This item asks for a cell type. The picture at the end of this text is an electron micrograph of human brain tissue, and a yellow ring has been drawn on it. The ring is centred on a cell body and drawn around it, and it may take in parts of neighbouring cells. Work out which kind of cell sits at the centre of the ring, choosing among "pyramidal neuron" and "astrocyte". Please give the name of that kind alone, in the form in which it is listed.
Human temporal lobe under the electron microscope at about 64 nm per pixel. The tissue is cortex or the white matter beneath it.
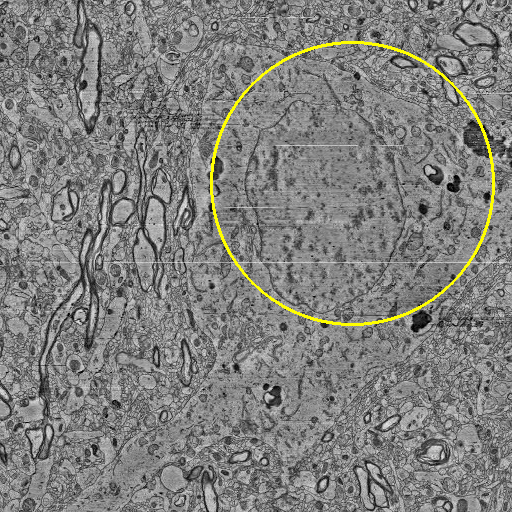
pyramidal neuron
